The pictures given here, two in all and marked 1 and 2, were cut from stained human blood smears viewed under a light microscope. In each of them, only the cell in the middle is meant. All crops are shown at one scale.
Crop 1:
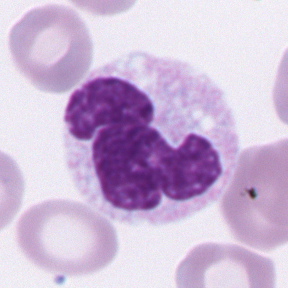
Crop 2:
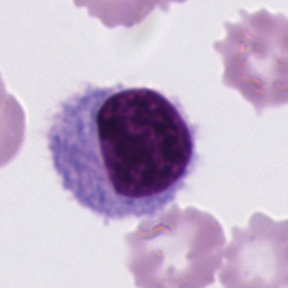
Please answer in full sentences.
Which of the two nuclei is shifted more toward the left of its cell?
In crop 1 the nucleus is shifted more toward the left.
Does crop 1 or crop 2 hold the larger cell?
Crop 1 holds the larger cell; it covers about 1.5 times the area of the cell in crop 2.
